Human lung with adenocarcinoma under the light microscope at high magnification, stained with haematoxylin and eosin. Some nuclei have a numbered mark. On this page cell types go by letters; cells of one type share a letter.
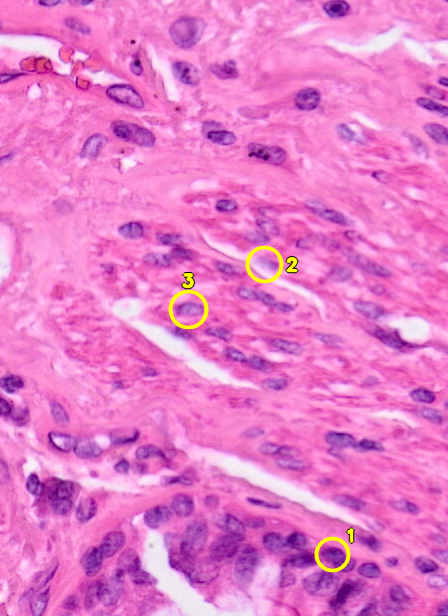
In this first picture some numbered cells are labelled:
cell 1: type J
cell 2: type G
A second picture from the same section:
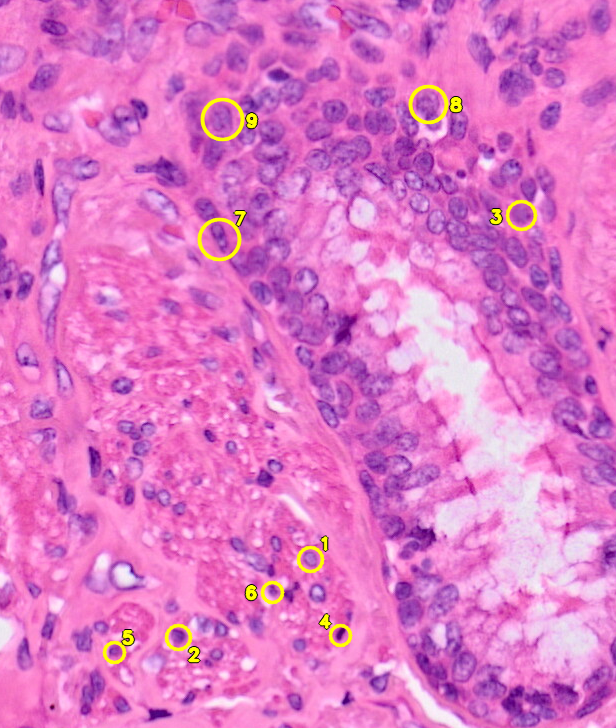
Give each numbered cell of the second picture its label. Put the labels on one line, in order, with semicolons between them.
type G; type G; type J; type G; type G; type G; type J; type J; type J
